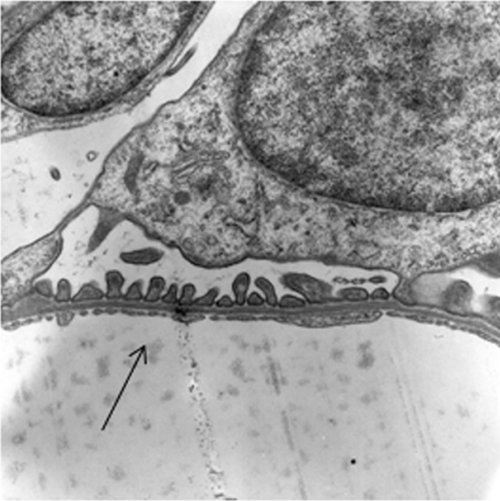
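This electron micrograph shows the glomerular filtration barrier, with a podocyte above and a capillary lumen below. The podocyte body holds a large oval nucleus with finely granular chromatin and a cytoplasm containing small organelles. From its underside a regular row of short, evenly spaced foot processes rests on a continuous dark basement membrane, with narrow slits between neighbouring processes. Beneath the basement membrane a very thin endothelial layer lines the capillary lumen, which is pale and nearly empty. Part of another nucleus lies at the upper left.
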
